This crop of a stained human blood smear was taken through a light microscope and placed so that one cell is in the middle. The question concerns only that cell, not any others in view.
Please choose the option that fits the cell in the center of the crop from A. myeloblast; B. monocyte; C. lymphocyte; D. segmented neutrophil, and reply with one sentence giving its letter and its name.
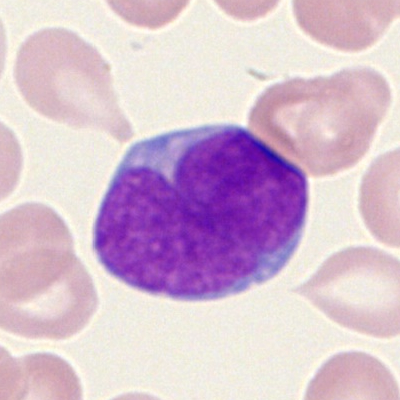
The correct option, A, names the middle cell as a myeloblast.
